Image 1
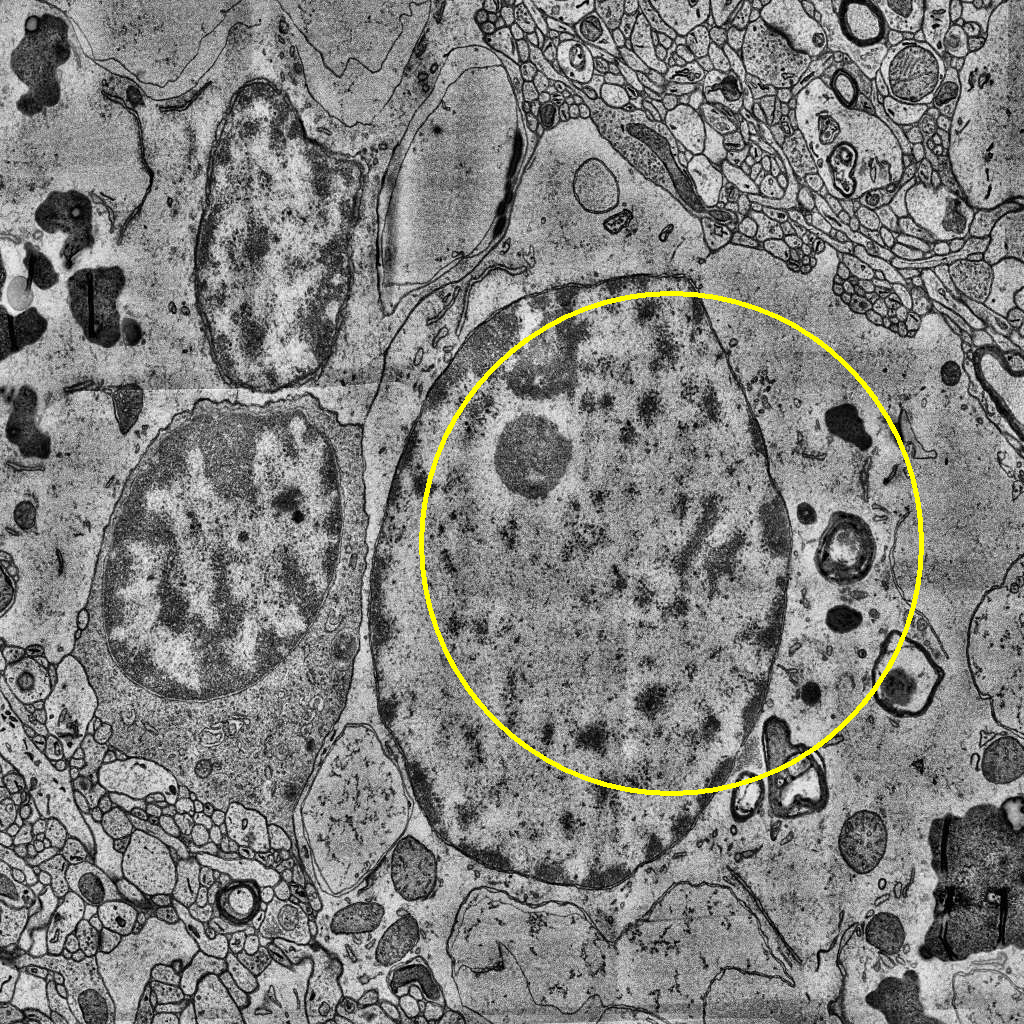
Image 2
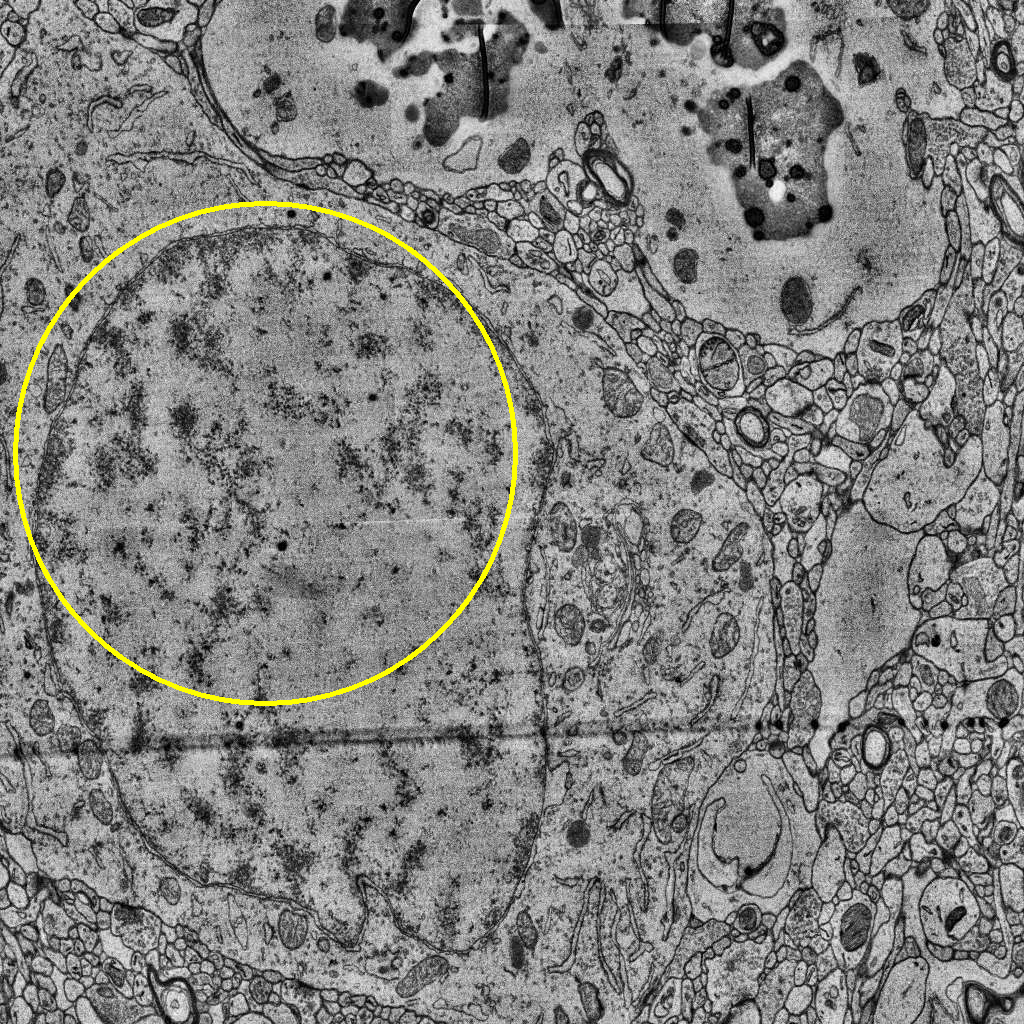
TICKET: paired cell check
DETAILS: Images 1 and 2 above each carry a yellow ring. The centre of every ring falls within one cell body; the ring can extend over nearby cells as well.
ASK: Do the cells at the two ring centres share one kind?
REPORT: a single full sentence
No, the cells at the ring centres of Images 1 and 2 belong to two kinds.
